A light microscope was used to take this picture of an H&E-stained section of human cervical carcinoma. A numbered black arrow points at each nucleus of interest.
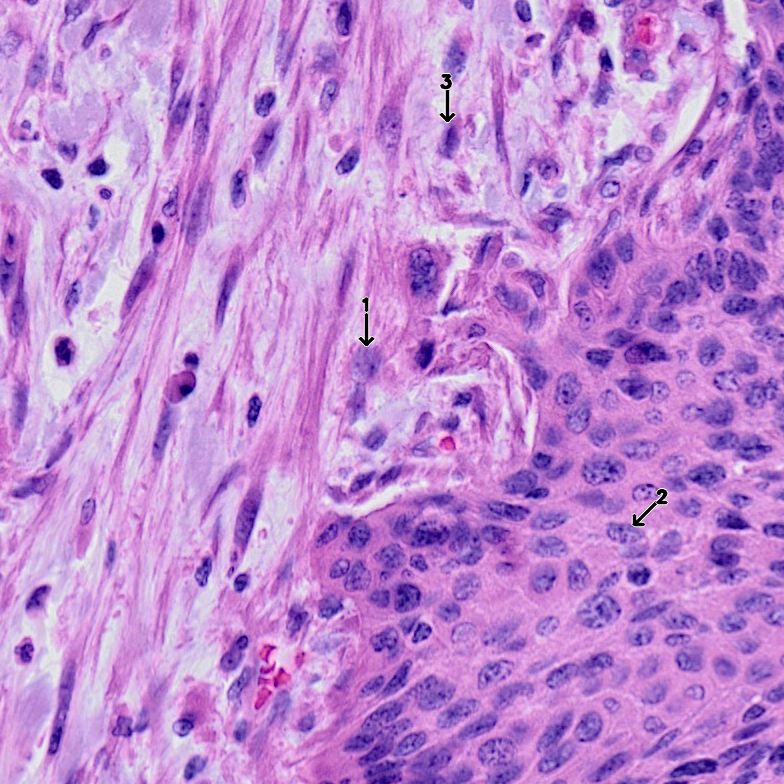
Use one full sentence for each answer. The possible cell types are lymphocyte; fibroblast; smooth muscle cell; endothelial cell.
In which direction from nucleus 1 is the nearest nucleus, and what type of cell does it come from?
The closest nucleus belongs to a fibroblast and sits below nucleus 1.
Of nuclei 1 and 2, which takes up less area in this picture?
Number 2 is smaller, since number 1 takes up about 1.5 times as much area.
